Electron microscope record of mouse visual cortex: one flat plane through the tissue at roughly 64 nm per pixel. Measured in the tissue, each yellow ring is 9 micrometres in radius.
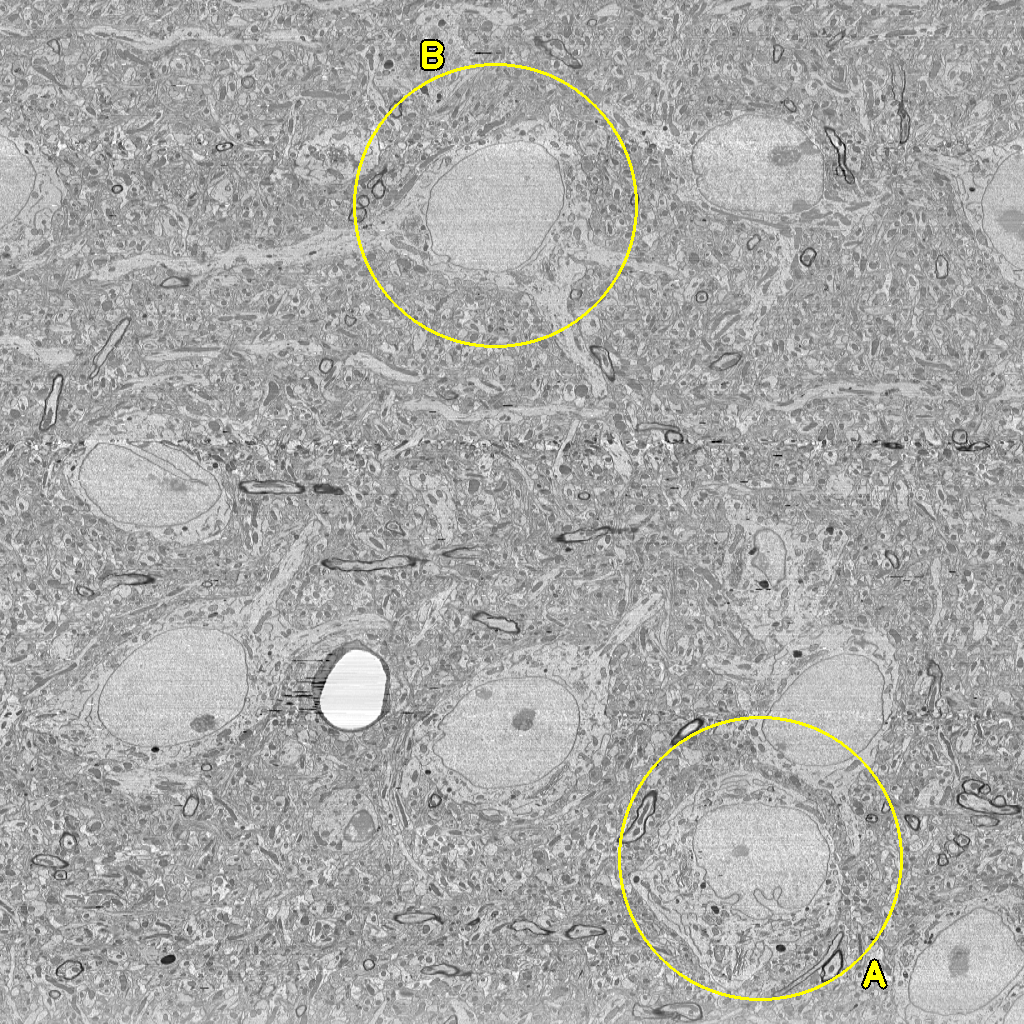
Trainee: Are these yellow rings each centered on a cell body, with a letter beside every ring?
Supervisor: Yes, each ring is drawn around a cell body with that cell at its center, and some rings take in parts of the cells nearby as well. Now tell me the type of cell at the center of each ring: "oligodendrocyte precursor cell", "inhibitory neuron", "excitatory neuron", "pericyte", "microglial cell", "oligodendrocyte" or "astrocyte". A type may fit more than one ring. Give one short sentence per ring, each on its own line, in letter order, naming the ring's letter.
Ring A has an inhibitory neuron at its center.
Ring B has an excitatory neuron at its center.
